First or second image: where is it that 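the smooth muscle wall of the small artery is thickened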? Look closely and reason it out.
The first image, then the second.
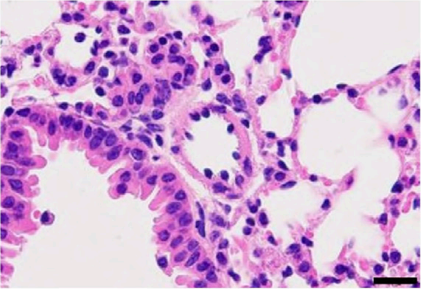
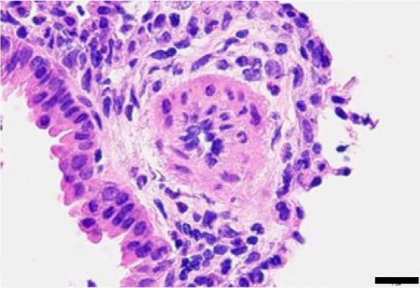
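The second image. Second image: the central vessel has a wide, homogeneous pink wall around a narrow lumen. First image: the central vessel has a thin wall around an open lumen.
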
